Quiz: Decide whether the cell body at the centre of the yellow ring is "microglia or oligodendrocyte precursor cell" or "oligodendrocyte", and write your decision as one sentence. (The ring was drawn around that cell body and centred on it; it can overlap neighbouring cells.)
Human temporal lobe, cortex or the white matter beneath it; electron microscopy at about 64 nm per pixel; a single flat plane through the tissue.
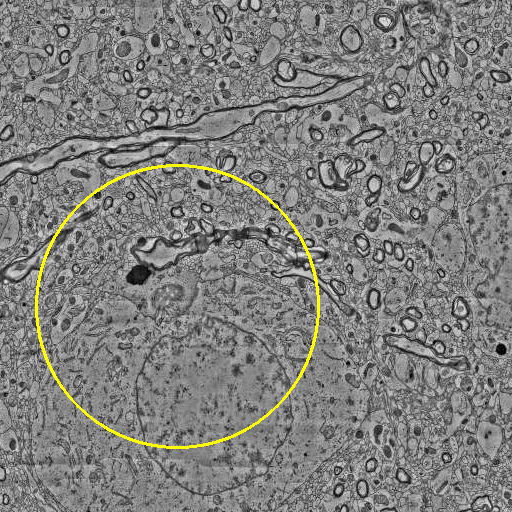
The cell the ring is centred on is an oligodendrocyte.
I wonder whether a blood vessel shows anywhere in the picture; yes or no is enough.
No, none shows.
